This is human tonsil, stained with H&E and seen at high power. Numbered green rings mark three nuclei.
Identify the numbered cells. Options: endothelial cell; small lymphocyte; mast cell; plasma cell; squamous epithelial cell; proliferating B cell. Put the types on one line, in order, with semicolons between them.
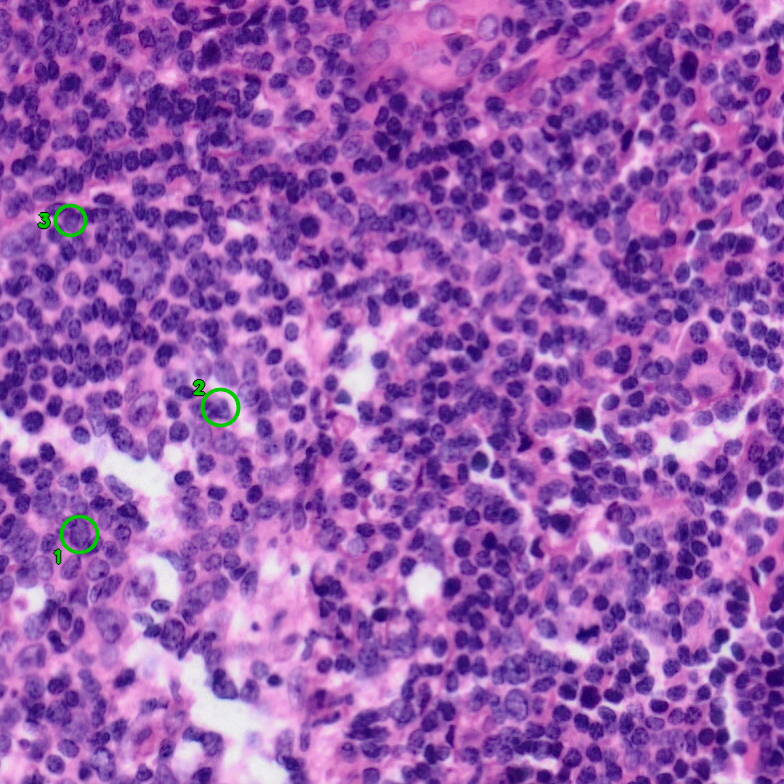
proliferating B cell; proliferating B cell; small lymphocyte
